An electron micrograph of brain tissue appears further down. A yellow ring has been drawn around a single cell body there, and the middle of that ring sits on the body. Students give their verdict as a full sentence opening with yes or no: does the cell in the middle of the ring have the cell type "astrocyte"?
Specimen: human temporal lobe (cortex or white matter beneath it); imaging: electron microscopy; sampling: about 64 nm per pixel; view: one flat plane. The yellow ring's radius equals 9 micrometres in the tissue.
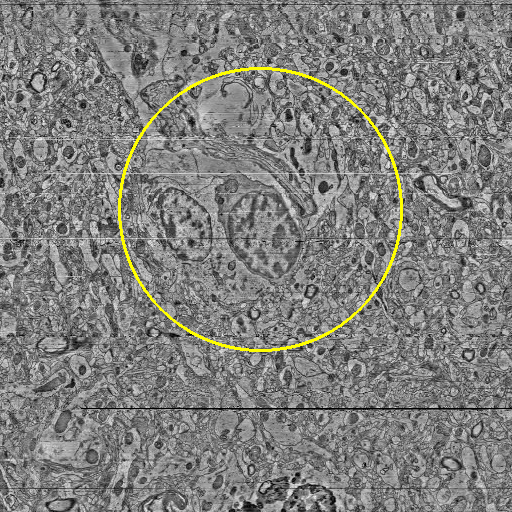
No, in this picture the cell sitting at the middle of the ring has a different cell type.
